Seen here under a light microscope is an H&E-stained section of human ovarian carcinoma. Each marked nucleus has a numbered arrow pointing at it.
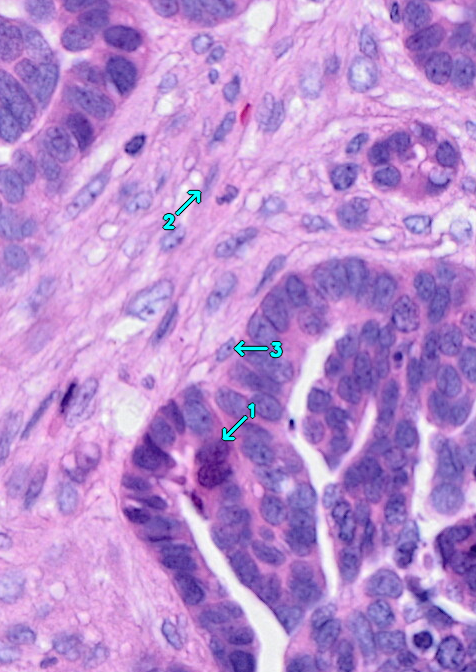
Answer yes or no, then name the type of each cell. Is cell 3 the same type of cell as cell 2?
Yes, of the numbered cells, 3 and 2 are both fibroblasts.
